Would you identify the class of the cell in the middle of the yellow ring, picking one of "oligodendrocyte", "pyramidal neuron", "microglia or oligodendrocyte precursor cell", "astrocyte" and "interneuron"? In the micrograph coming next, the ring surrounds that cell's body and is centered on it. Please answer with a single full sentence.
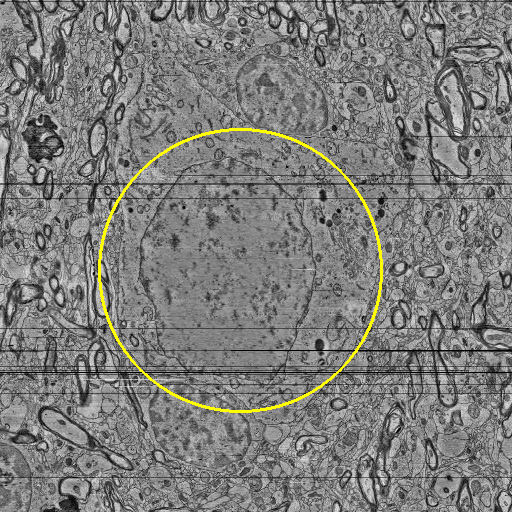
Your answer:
In the micrograph, it is a pyramidal neuron whose body lies at the ring's center.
